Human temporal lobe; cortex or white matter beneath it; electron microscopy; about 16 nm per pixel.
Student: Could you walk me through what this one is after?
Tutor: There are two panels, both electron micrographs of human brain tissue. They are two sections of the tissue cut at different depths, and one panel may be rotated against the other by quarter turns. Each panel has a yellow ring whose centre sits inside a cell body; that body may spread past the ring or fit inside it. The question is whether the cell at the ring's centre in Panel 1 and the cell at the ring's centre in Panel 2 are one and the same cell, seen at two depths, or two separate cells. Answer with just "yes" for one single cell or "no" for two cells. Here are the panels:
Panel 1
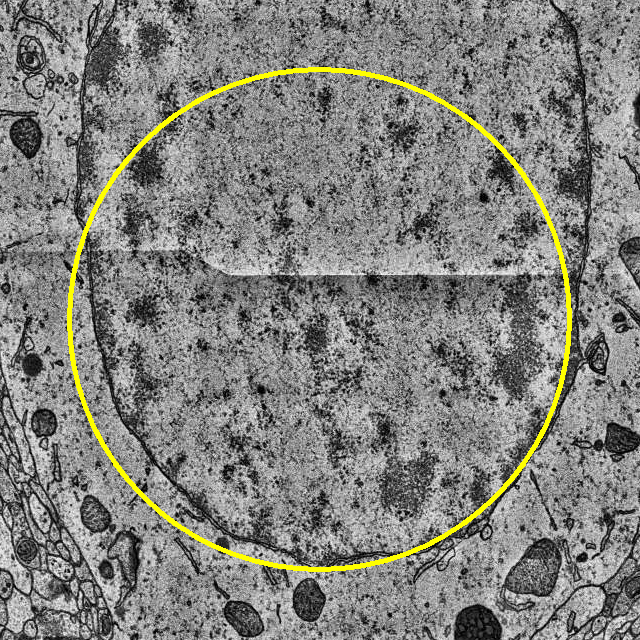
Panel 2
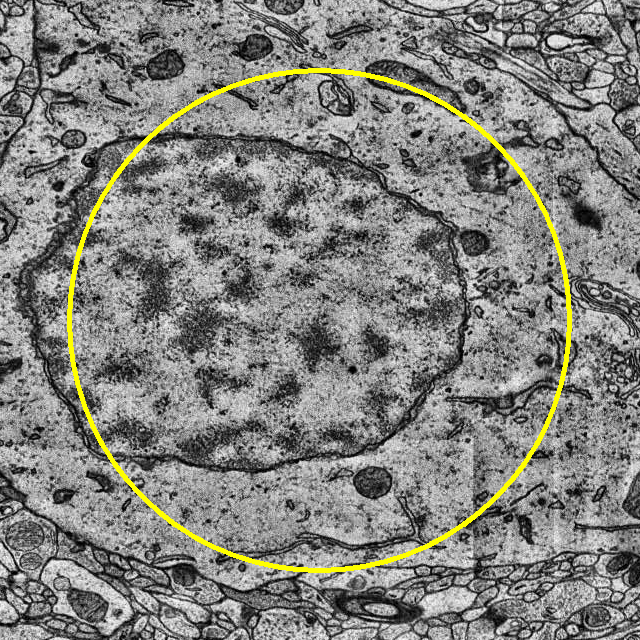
yes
